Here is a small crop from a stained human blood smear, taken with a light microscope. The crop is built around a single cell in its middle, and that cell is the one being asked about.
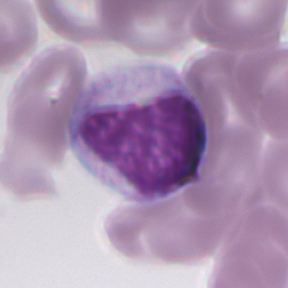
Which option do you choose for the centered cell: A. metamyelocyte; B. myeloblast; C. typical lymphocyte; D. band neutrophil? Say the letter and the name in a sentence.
Option A is the keyed answer: the cell in the middle is a metamyelocyte.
